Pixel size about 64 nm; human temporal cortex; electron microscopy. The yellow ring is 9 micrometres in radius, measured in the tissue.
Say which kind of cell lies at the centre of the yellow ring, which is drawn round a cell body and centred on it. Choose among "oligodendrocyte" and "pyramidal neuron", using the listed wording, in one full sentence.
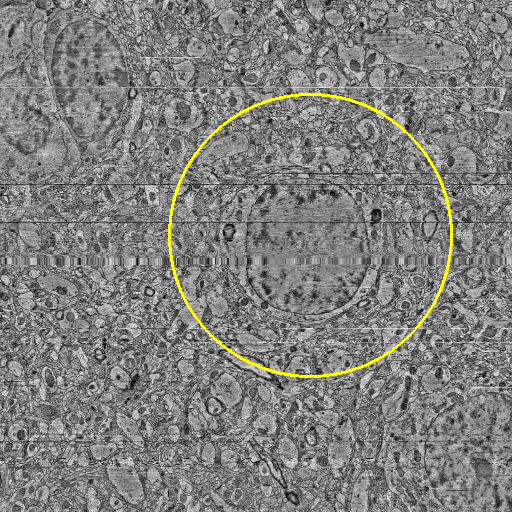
Going by the list, the cell at the yellow ring's centre is a pyramidal neuron.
